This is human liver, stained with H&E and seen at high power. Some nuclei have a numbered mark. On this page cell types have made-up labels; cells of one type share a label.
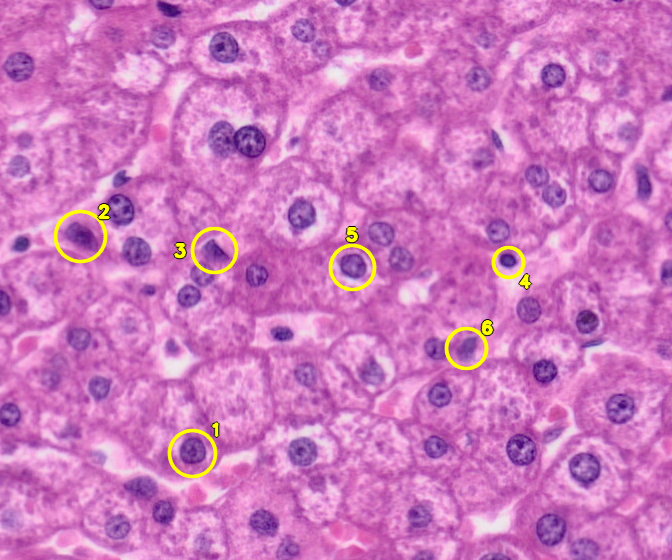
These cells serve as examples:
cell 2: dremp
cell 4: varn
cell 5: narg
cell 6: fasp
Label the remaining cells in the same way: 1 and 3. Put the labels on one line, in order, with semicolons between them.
narg; fasp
